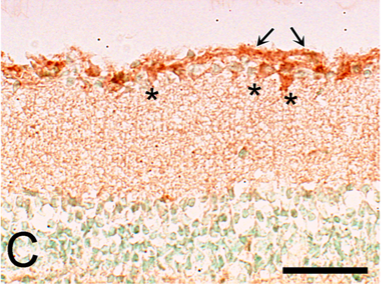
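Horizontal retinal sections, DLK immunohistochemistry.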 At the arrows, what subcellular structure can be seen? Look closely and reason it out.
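The arrows point to a thin brown-stained band running along the innermost surface of the retina. The stained band is fibrous and runs parallel to the surface. That points to this answer: axons.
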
